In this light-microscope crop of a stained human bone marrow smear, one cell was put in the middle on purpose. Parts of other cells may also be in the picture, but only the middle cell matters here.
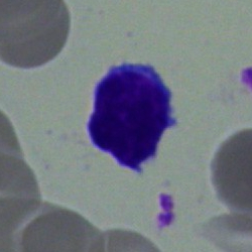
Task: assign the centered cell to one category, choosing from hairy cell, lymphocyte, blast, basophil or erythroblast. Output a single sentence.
What the crop centres on is a lymphocyte.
